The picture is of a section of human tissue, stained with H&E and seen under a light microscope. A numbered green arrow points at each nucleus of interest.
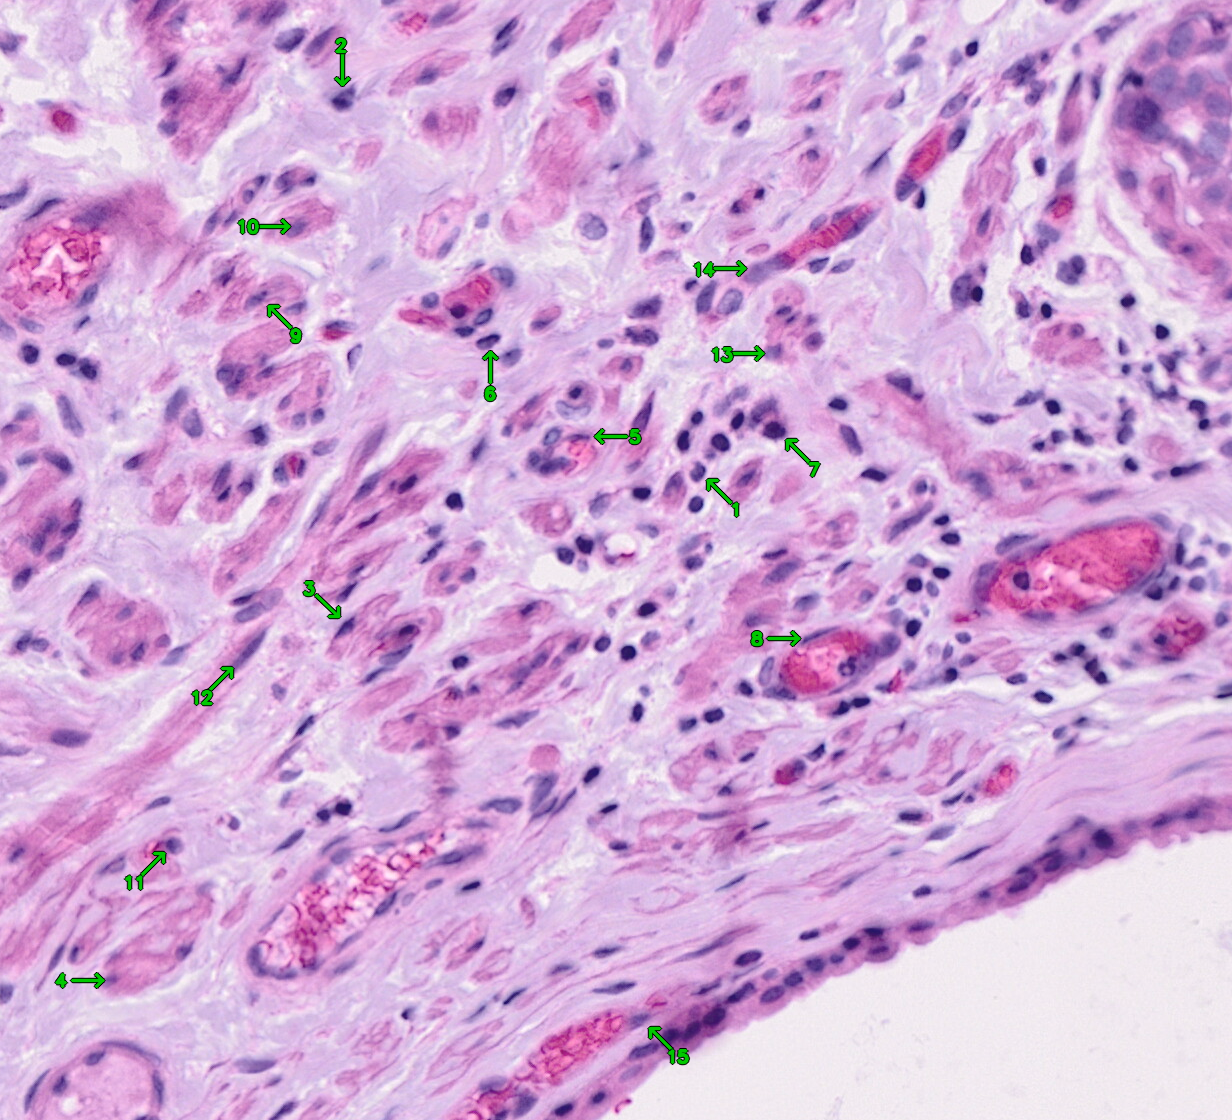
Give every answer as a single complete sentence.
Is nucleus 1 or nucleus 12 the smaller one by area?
With nucleus 12 about 3 times its size, nucleus 1 is the smaller of the two.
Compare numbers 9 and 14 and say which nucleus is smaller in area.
The smaller nucleus is 9, and 14 covers roughly 3 times its area.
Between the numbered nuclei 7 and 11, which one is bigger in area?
Of the two, number 7 is bigger and takes up about 1.5 times the area of number 11.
